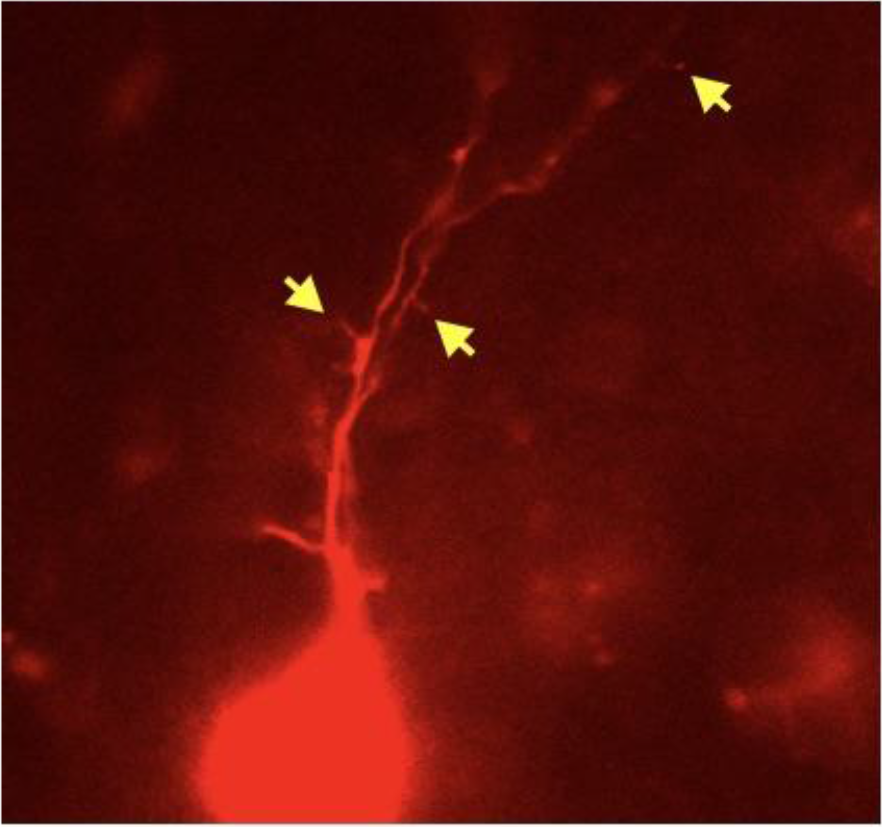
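A single filled neuron is seen at high magnification, with its bright, rounded cell body at the bottom of the field. A thick dendrite rises from the soma and divides into thinner branches that run upward and to the right. Along these branches small short protrusions stick out from the shaft, resembling dendritic spines.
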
